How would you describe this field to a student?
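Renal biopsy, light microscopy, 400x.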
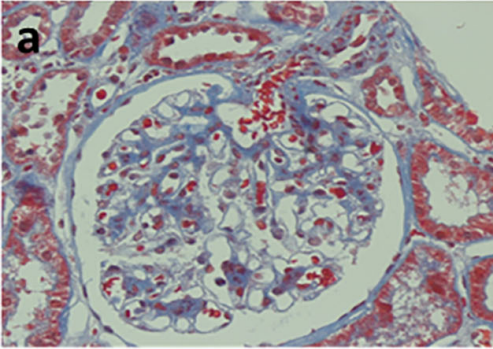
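This is a kidney glomerulus seen at high power, a rounded tuft of capillary loops sitting inside Bowman's space and bounded by the thin capsule. Within the tuft the capillary walls and the central stalks take a blue stain, while nuclei and red blood cells appear dark red. Around the capsule lie cross-sectioned tubules, their epithelial cells with red-staining cytoplasm and open lumens, separated by thin strands of blue connective tissue.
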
